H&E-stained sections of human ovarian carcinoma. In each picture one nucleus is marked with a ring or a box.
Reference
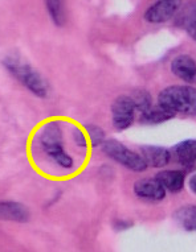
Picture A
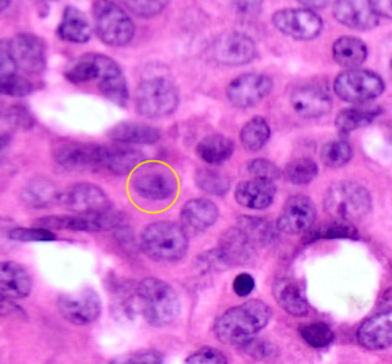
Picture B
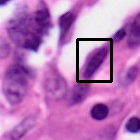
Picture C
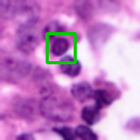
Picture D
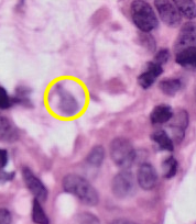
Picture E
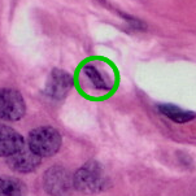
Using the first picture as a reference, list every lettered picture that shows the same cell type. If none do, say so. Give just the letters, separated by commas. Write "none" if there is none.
D, E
